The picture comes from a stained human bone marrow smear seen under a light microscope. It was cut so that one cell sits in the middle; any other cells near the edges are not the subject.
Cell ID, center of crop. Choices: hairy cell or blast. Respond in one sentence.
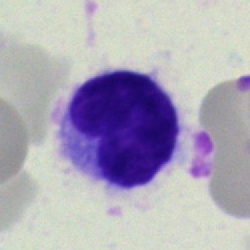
Positioned in the middle of the crop is a hairy cell.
